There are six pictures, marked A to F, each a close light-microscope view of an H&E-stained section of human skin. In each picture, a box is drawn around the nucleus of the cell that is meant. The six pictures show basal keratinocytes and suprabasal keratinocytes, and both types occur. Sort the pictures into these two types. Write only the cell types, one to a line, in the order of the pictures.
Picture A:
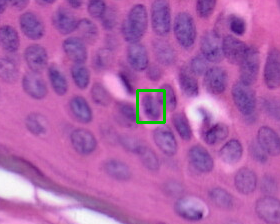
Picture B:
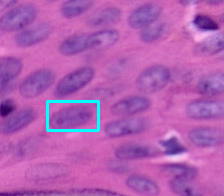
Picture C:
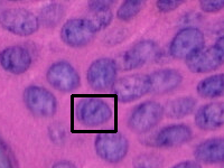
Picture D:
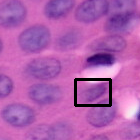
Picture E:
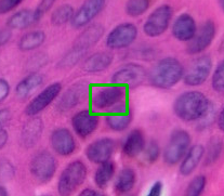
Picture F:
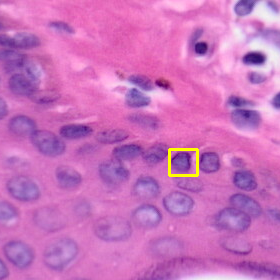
basal keratinocyte
suprabasal keratinocyte
suprabasal keratinocyte
basal keratinocyte
basal keratinocyte
basal keratinocyte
